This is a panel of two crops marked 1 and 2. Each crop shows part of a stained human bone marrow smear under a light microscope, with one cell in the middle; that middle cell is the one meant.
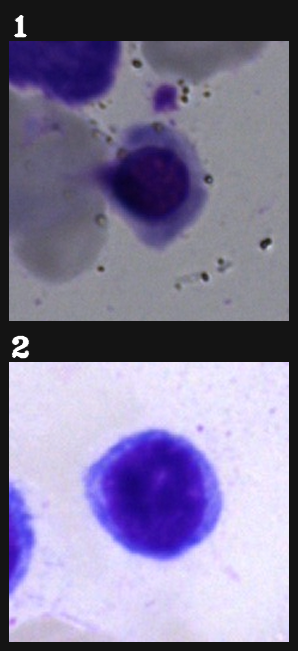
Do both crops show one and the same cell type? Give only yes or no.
no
